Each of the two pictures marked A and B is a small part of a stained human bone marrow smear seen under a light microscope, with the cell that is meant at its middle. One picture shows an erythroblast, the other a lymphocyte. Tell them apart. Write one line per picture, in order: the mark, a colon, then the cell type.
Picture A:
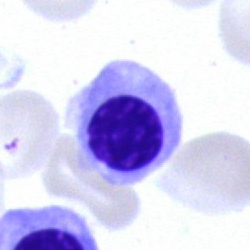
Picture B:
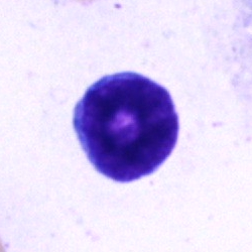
A: erythroblast
B: lymphocyte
